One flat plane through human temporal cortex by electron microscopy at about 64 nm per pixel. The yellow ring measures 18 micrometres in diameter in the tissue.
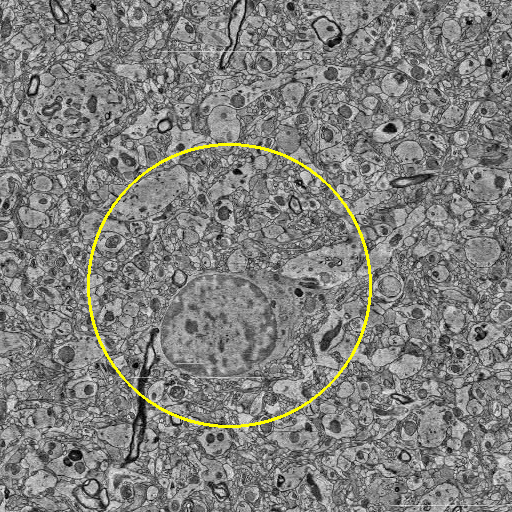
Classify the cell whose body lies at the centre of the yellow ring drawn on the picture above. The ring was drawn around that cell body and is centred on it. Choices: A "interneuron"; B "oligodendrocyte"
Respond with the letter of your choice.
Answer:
B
